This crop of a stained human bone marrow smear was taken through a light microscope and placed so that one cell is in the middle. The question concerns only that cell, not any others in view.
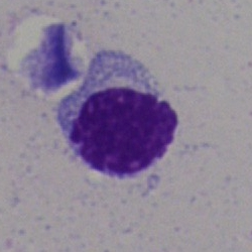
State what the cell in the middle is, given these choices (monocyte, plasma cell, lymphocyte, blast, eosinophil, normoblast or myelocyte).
lymphocyte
